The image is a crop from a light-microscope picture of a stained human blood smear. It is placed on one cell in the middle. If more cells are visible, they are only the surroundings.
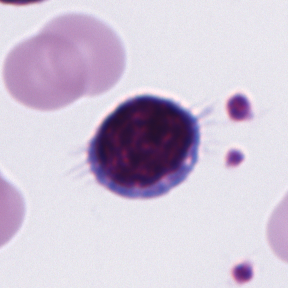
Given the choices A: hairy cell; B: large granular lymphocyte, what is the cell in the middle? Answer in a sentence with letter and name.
The best answer is option B, since the cell in the middle is a large granular lymphocyte.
